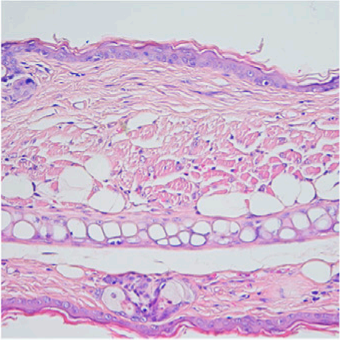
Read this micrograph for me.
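This is a cross-section of thin ear skin, with a plate of cartilage in its middle. The upper epidermis is only a few cells thick, with purple nuclei and a thin pink keratin layer. Beneath it lies a loose dermis of pale pink fibres, scattered spindle-shaped cells and several empty-looking fat cells. Across the middle runs a band of cartilage made of rows of clear, box-like cells separated by thin pink walls. Below the cartilage is further loose connective tissue. Near the bottom sits a small cluster of cells with pale, foamy cytoplasm, probably a gland beside a hair follicle. A thin epidermis lines the lower surface.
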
